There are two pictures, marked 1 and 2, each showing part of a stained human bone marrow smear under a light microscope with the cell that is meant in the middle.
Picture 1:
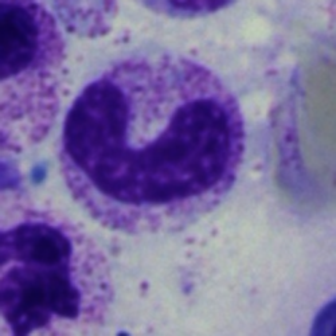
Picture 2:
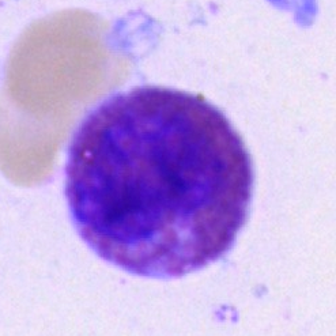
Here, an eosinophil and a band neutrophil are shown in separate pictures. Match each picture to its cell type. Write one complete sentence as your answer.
It is picture 1 that shows a band neutrophil, and picture 2 that shows an eosinophil.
